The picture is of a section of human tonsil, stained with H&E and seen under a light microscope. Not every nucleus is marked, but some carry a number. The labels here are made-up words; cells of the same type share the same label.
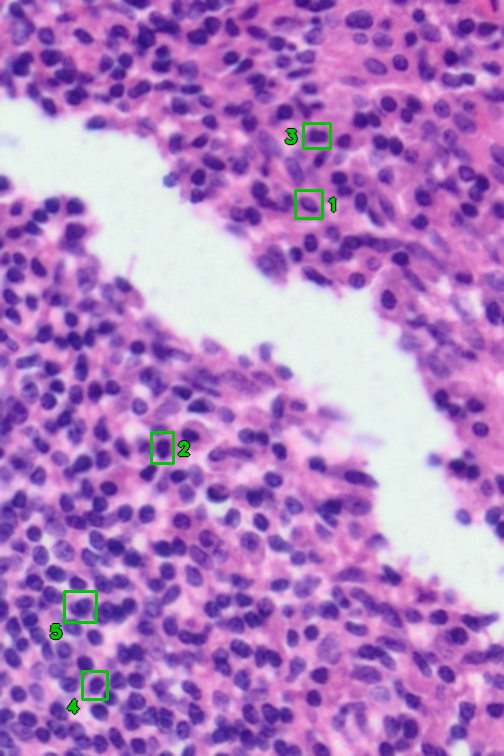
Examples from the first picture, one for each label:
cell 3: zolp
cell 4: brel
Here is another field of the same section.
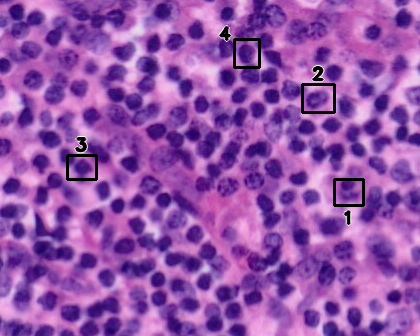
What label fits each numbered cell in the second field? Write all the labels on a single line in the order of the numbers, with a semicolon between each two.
zolp; zolp; brel; brel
